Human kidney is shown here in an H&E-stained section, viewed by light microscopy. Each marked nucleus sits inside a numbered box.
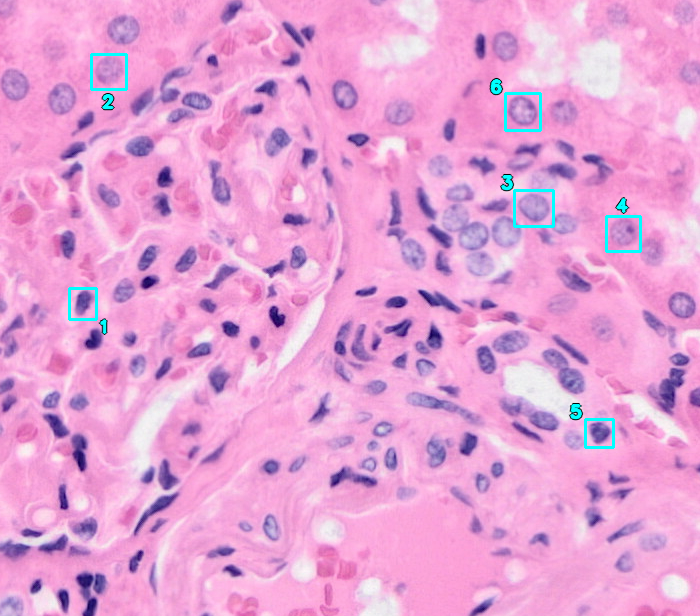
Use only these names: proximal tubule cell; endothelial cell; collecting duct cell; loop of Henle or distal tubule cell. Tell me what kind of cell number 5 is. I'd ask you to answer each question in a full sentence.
The nucleus labeled 5 belongs to a collecting duct cell.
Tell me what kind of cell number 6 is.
What the number 6 marks in this field is a proximal tubule cell.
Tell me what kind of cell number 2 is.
Identified by the number 2, the cell is a proximal tubule cell.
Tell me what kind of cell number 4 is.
Cell 4 should be recorded as a proximal tubule cell.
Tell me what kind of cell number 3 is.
The correct answer for cell 3 is a collecting duct cell.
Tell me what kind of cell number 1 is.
The numbered cell 1 in this field is an endothelial cell.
